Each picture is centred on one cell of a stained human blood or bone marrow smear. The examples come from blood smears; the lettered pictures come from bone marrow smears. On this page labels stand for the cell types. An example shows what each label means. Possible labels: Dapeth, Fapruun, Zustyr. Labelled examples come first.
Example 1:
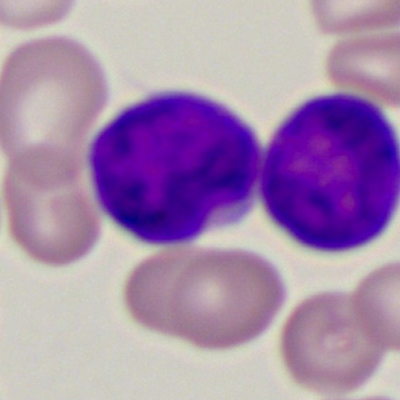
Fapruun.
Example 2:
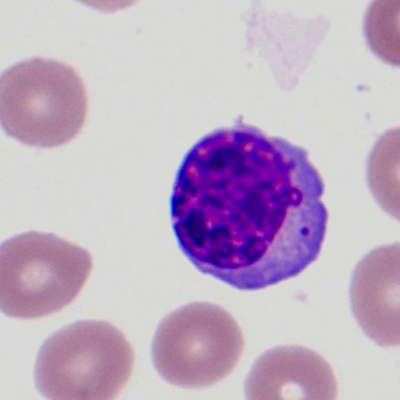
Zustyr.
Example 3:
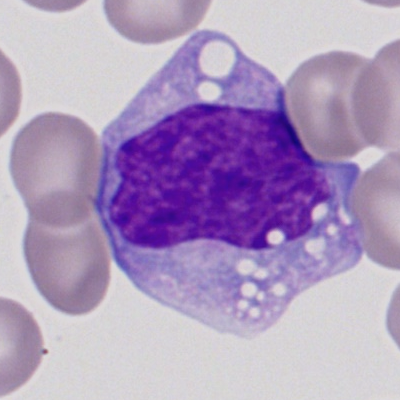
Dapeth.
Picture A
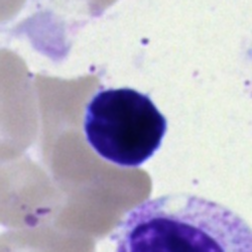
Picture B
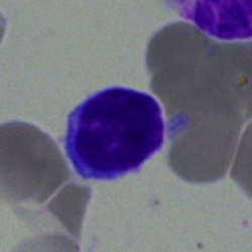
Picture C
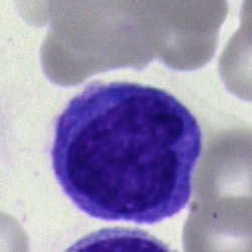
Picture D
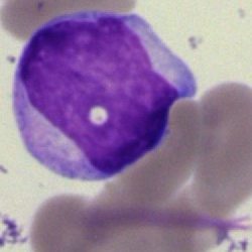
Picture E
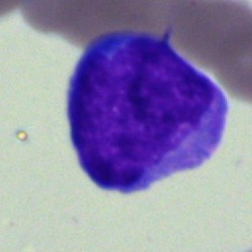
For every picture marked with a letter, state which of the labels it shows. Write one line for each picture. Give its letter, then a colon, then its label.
A: Zustyr.
B: Zustyr.
C: Dapeth.
D: Fapruun.
E: Fapruun.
